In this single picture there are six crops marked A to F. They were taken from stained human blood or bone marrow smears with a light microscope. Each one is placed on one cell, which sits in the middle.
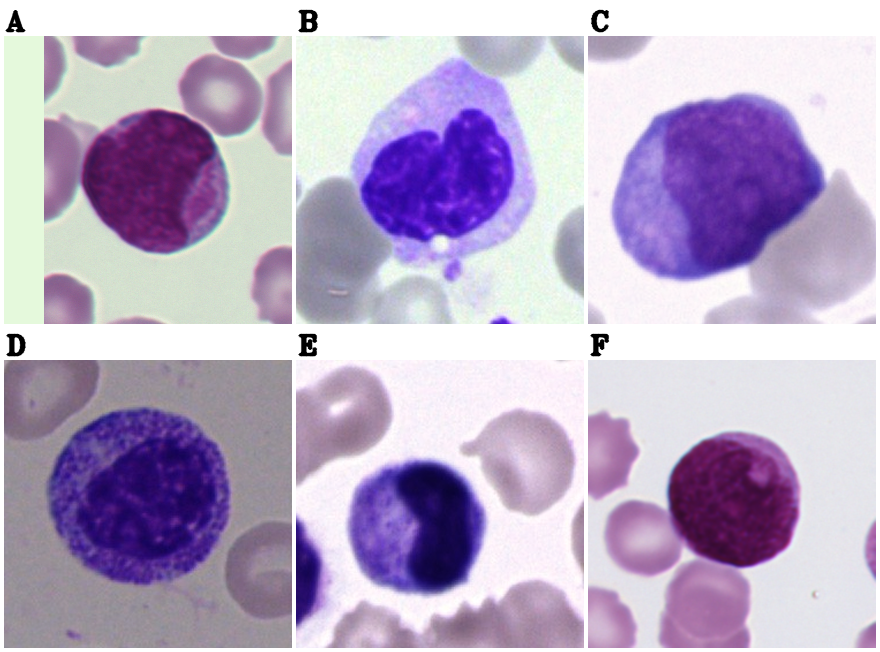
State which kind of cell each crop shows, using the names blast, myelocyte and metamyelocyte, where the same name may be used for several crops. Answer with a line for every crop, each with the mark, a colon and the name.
A: blast
B: metamyelocyte
C: blast
D: myelocyte
E: metamyelocyte
F: blast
